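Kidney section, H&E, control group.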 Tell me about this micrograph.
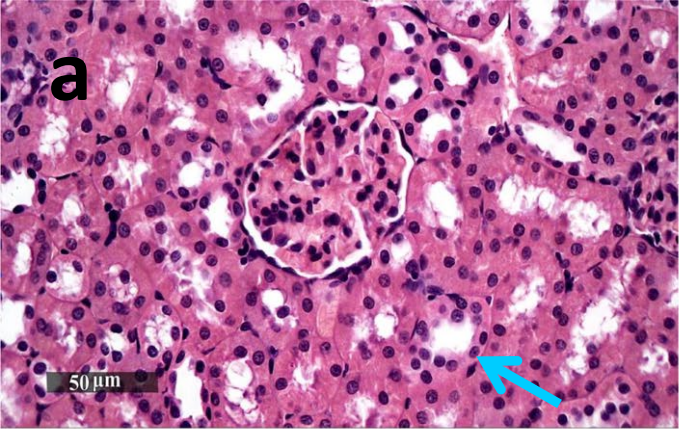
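This is renal cortex with a renal corpuscle surrounded by closely packed tubules. The corpuscle holds a rounded, cellular glomerular tuft with many dark nuclei, ringed by a narrow clear space and a thin capsule. The tubules around it are lined by cuboidal epithelial cells with round, dark purple nuclei and pink cytoplasm. Many tubular lumens are small and clear, some with pale fluffy material. The tubules lie close together with little space between them.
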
